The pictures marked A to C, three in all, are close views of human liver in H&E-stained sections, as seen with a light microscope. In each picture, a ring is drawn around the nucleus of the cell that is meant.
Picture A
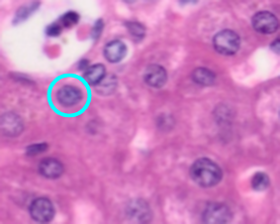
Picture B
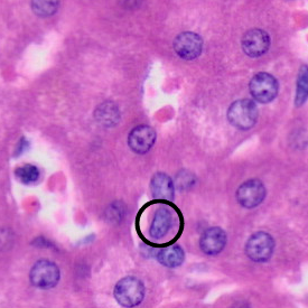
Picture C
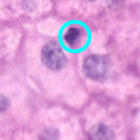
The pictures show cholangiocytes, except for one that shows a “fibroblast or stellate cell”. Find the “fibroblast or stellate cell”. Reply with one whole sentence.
The cell in picture C is the “fibroblast or stellate cell”.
